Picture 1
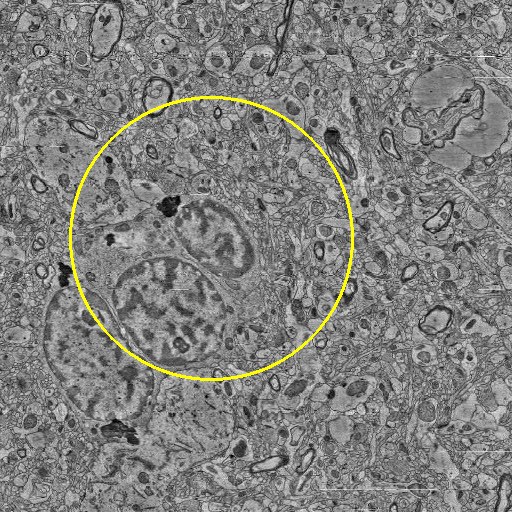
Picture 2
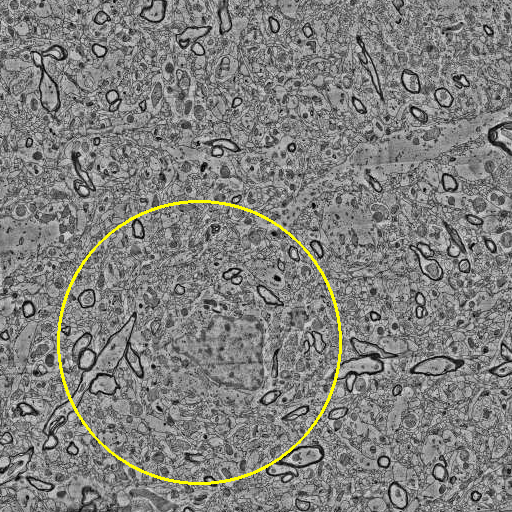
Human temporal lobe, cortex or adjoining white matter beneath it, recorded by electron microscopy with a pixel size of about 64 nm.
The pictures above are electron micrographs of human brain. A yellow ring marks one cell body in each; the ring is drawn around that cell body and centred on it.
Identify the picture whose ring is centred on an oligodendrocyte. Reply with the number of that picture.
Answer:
1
